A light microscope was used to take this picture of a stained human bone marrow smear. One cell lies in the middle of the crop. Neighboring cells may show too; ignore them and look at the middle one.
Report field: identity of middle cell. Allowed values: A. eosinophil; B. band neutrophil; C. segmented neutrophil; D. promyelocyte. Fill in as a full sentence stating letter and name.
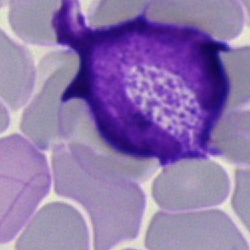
Of the options given, B is correct, the central cell being a band neutrophil.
